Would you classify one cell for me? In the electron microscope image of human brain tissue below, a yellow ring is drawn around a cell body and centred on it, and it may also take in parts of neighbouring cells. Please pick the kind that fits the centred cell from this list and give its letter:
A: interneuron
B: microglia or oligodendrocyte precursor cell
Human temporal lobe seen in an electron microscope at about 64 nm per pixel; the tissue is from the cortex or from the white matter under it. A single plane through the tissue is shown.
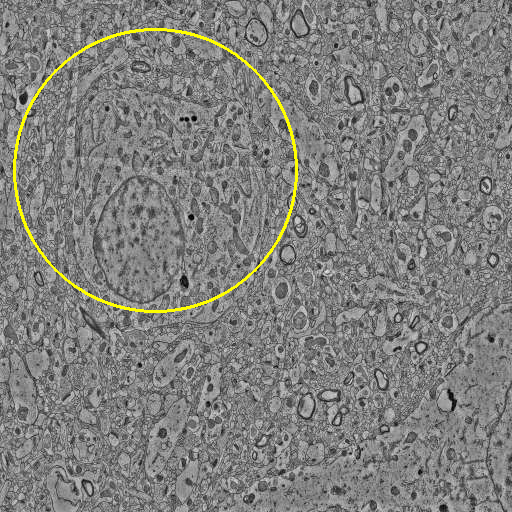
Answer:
A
